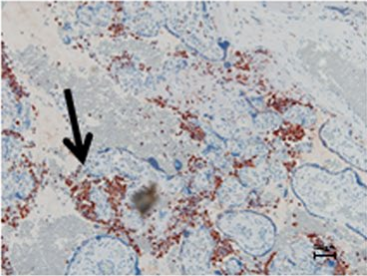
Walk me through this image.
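This is placental villous tissue with rounded villi of pale blue stroma lying in an intervillous space filled with pale pink-grey red blood cells. Between and around the villi, dense clusters of brown-stained rounded cells gather in an inflammatory focus, while the villous stroma itself stays largely unstained.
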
